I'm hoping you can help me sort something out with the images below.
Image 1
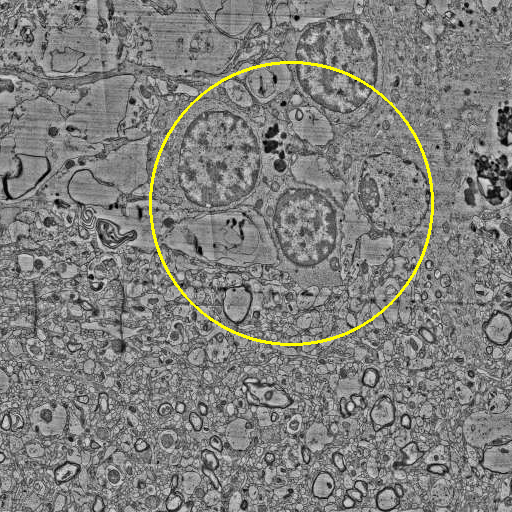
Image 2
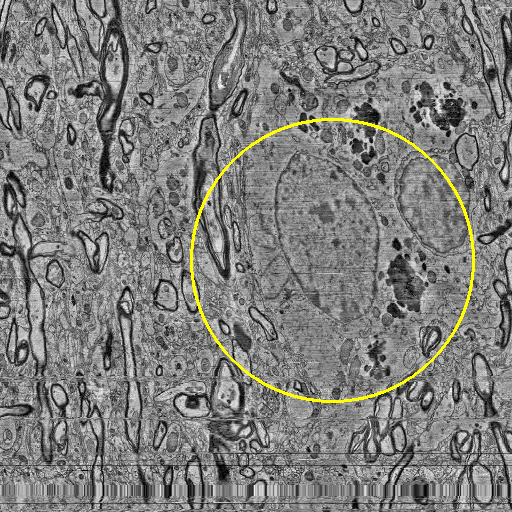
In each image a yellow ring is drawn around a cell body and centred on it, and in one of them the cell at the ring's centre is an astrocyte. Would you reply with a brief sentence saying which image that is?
In Image 2, the cell at the centre of the ring is the one you asked about.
